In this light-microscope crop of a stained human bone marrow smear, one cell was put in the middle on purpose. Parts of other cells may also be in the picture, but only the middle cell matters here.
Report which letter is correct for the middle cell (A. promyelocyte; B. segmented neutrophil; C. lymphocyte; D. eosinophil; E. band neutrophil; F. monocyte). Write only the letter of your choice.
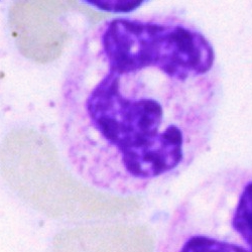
B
